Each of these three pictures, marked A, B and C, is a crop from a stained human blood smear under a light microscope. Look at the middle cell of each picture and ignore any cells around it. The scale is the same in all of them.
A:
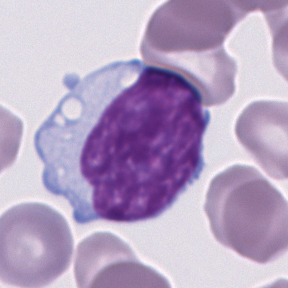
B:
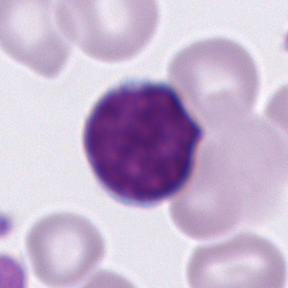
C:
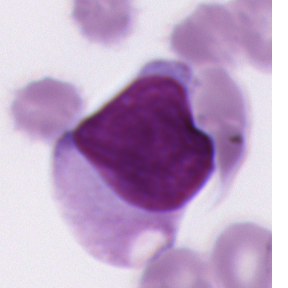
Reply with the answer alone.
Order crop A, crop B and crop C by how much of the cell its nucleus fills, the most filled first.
B, A, C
